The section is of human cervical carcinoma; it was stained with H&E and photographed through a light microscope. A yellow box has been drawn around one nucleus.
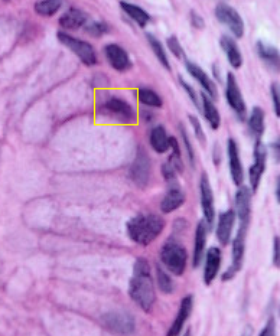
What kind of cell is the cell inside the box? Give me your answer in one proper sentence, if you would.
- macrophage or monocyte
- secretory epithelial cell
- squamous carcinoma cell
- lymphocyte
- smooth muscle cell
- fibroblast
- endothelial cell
Recorded by type, the cell inside the box is a secretory epithelial cell.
